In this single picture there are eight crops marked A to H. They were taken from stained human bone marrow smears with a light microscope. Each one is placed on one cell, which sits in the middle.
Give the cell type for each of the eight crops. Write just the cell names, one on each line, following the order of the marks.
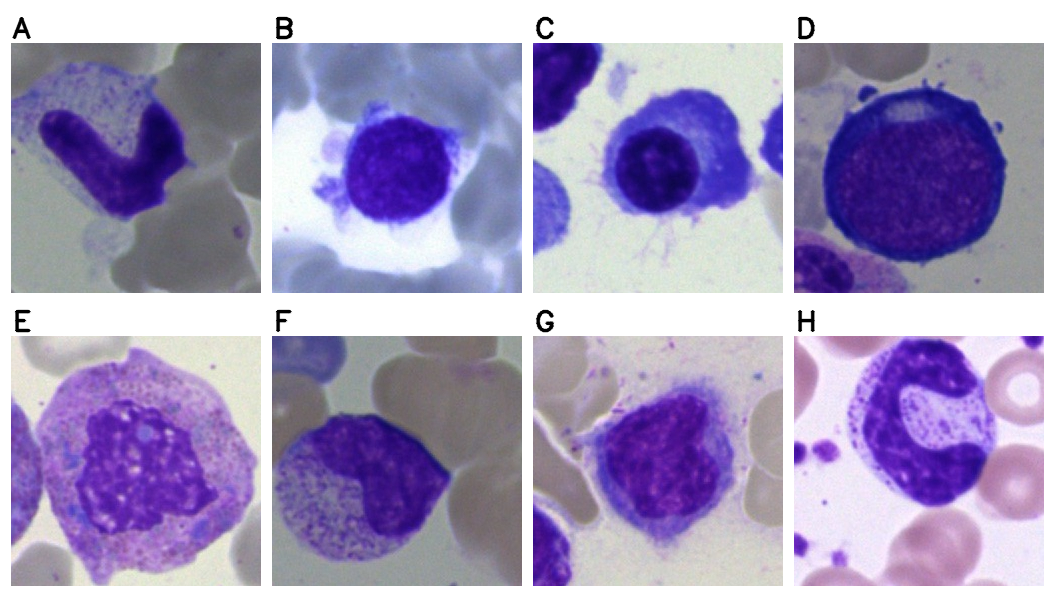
band neutrophil
hairy cell
plasma cell
proerythroblast
eosinophil
metamyelocyte
monocyte
band neutrophil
